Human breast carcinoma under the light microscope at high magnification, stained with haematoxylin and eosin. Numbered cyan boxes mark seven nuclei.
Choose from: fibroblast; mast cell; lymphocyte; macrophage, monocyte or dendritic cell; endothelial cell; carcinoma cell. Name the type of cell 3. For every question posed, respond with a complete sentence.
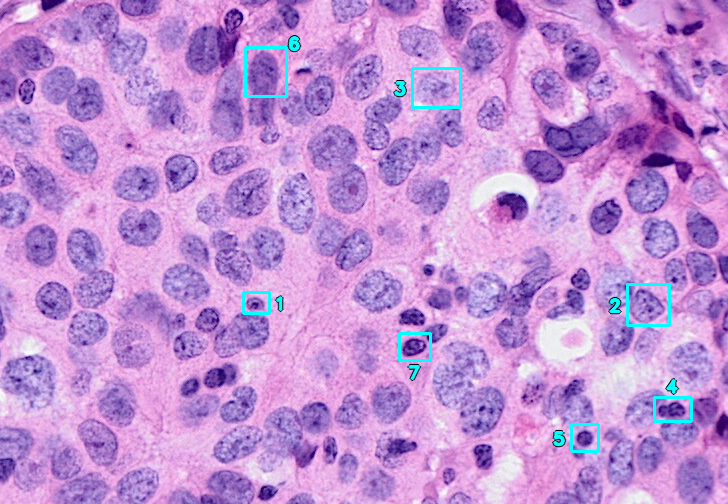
The cell that bears the number 3 is a carcinoma cell.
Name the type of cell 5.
Cell 5 of the marked set is a lymphocyte.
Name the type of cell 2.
The cell carrying label 2 is identified as a carcinoma cell.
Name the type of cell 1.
At number 1, the marked cell is a lymphocyte.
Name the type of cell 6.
In this section, the cell numbered 6 is a carcinoma cell.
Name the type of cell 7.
Cell 7 in the field is a lymphocyte.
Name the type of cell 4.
The cell referred to as 4 is a lymphocyte.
